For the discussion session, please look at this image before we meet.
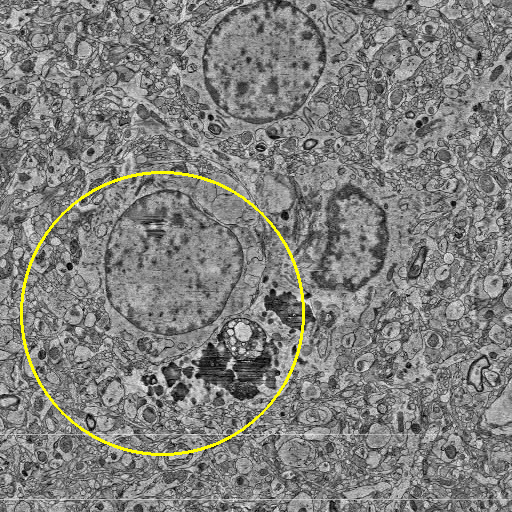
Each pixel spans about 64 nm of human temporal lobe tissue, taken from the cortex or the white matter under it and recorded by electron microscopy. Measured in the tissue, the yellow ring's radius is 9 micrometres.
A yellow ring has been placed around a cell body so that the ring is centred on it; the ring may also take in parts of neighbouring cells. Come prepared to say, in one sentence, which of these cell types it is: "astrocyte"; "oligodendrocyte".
The cell centred in the ring is an astrocyte.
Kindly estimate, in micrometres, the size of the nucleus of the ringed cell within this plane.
In this plane, the nucleus of the cell at the centre of the ring is about 9 micrometres across.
